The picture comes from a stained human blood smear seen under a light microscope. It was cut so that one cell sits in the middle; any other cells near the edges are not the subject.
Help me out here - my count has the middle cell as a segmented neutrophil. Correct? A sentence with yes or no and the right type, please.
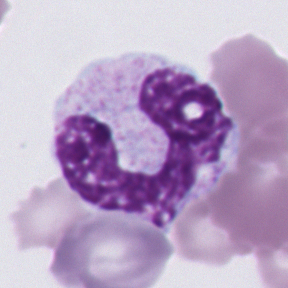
Yes, the cell sitting in the center is a segmented neutrophil.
